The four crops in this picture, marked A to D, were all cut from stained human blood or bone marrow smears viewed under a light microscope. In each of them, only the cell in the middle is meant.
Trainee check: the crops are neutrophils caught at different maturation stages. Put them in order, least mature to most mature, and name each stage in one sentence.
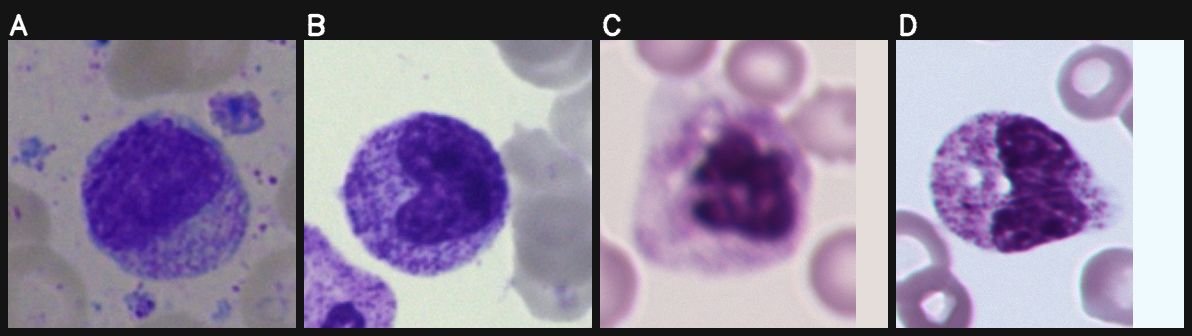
By maturity, starting with the least mature, the order is crop A (a myelocyte), crop B (a metamyelocyte), crop D (a band neutrophil) and crop C (a segmented neutrophil).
